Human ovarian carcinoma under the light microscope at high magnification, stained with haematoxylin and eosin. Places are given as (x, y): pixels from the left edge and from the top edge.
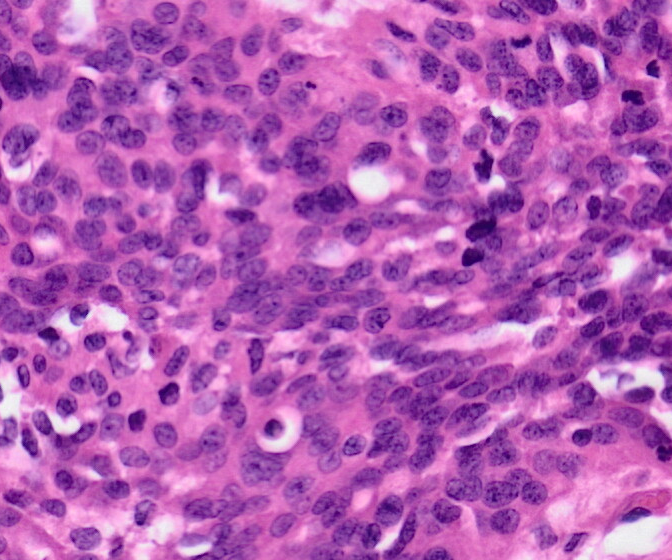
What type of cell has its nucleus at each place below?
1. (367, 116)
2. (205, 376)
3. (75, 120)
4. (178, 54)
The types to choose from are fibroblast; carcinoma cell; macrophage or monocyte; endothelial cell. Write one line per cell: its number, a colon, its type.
1: carcinoma cell
2: macrophage or monocyte
3: carcinoma cell
4: carcinoma cell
